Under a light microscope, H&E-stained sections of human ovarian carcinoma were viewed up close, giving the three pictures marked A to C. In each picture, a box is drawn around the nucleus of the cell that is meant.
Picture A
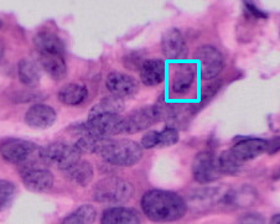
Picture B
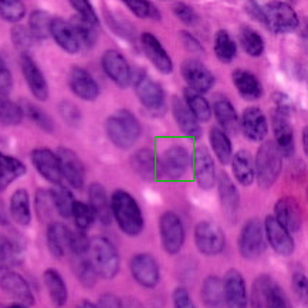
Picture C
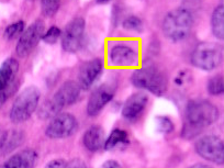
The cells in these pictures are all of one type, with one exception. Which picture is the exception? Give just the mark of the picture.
C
